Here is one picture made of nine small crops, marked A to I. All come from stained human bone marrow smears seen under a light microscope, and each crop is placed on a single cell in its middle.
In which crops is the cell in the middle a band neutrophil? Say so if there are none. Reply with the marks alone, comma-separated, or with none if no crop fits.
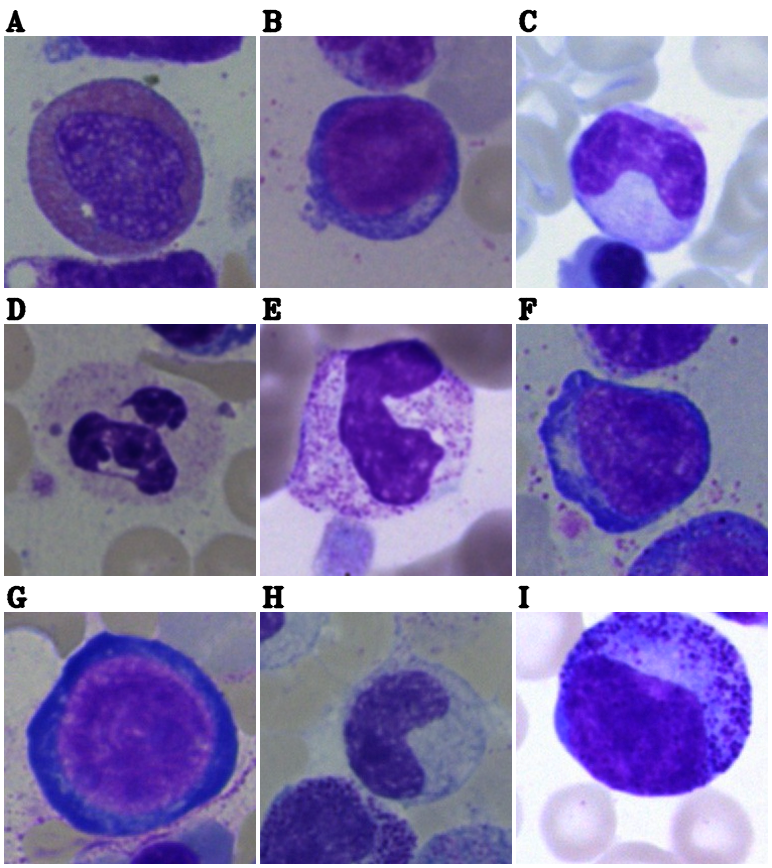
C, E, H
